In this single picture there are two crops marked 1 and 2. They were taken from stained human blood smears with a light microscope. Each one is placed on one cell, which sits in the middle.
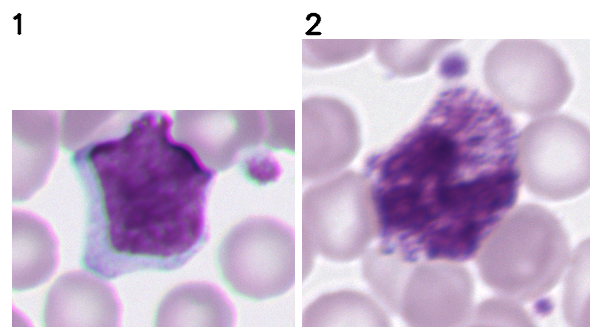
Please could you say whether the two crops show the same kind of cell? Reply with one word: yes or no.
no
